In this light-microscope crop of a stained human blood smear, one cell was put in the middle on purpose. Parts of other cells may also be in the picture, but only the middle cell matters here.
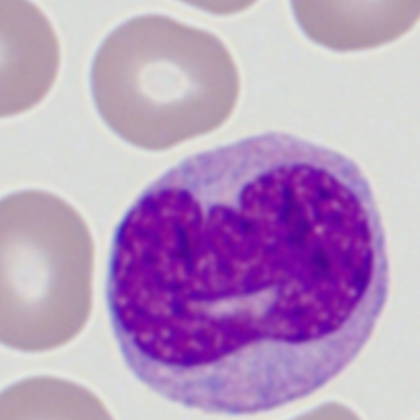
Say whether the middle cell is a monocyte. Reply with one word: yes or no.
yes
